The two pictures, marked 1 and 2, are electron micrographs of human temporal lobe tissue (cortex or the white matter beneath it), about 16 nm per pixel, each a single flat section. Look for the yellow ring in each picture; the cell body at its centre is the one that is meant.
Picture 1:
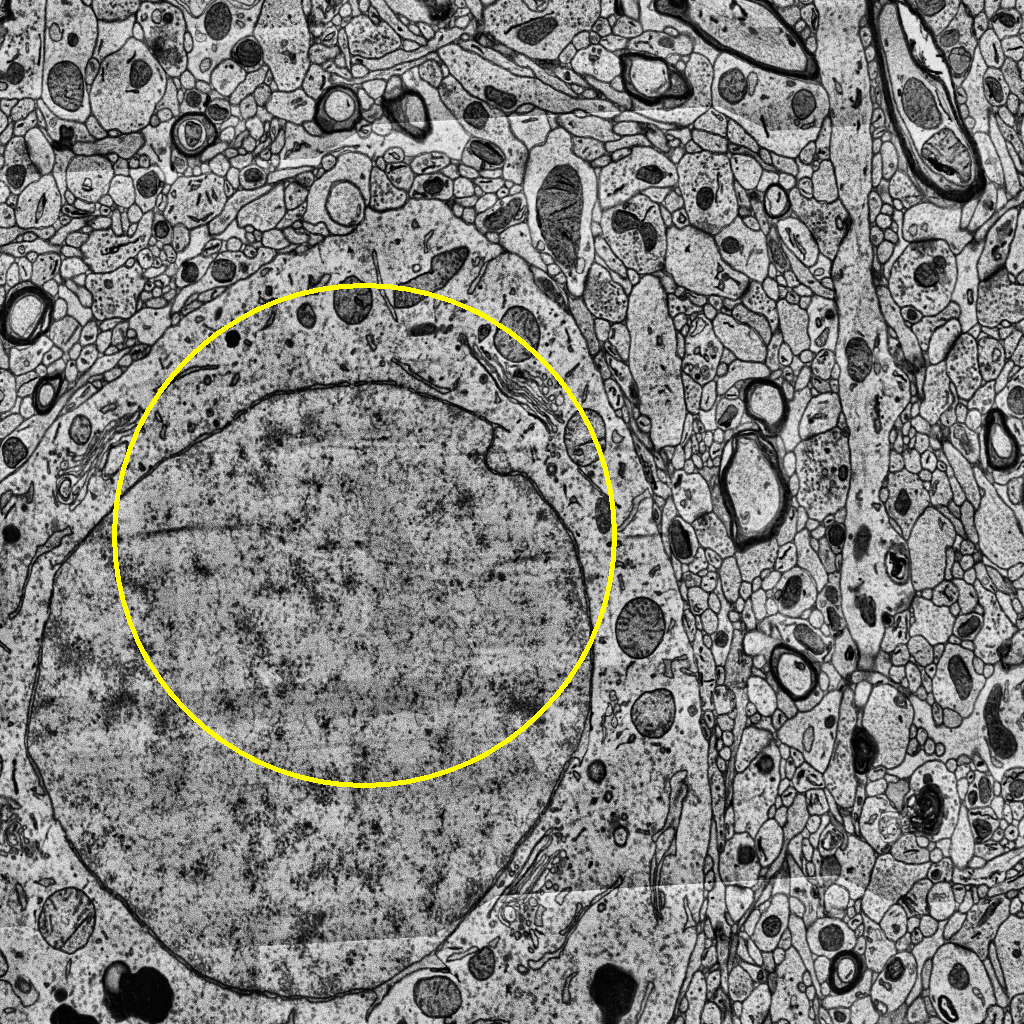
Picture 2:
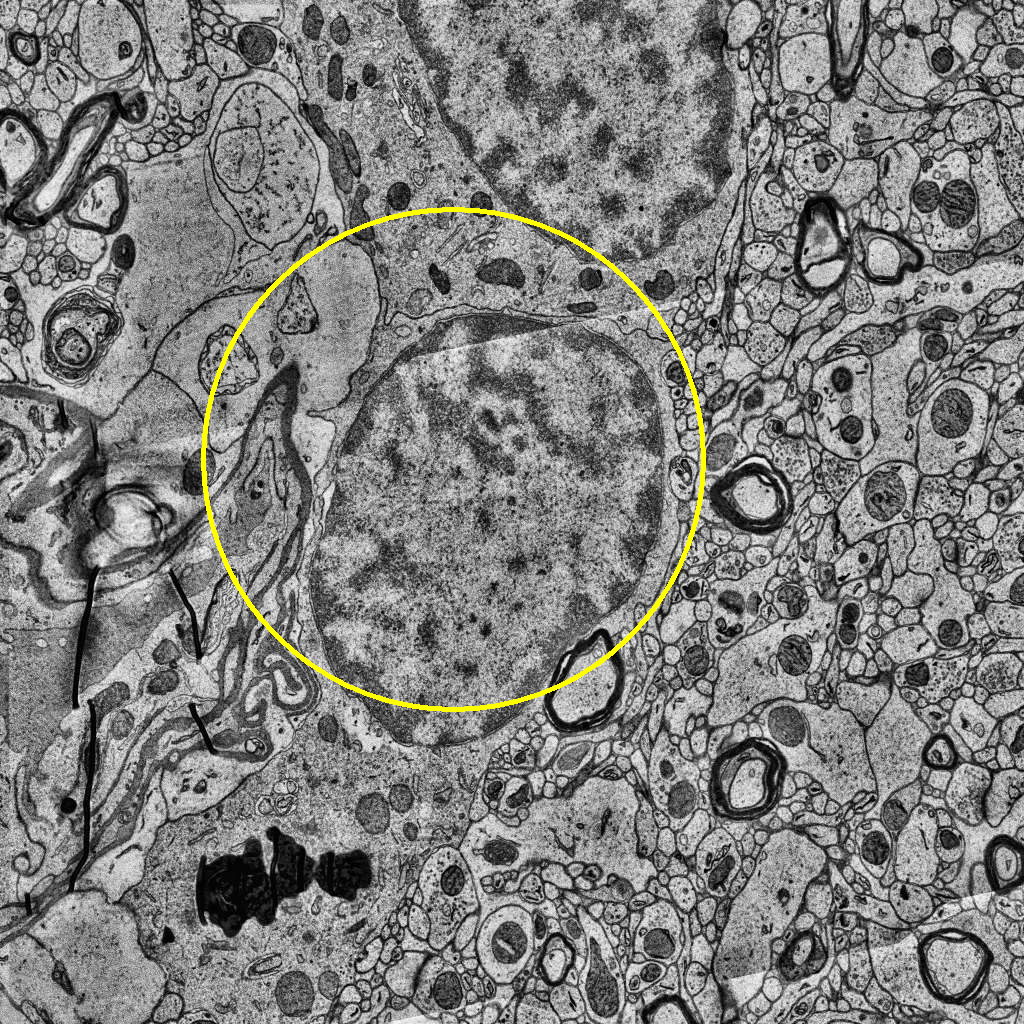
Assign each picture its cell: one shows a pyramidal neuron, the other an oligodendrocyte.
Picture 1 shows a pyramidal neuron and picture 2 shows an oligodendrocyte.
